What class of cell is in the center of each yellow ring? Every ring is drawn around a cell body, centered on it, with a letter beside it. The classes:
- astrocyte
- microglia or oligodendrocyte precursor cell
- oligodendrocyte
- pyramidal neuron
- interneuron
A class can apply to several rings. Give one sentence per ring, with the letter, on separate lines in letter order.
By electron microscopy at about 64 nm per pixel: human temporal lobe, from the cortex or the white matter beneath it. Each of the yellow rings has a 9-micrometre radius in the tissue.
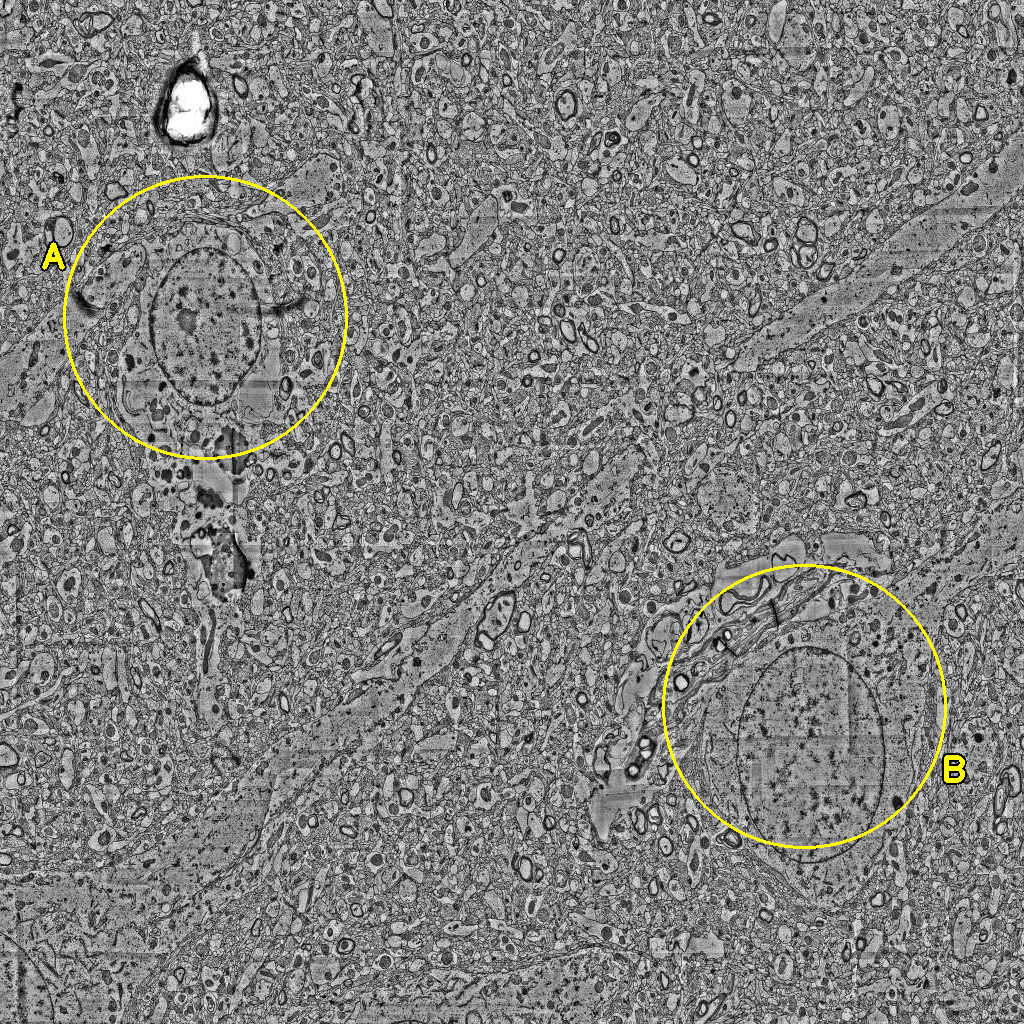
Ring A holds an astrocyte at its center.
Ring B holds a pyramidal neuron at its center.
